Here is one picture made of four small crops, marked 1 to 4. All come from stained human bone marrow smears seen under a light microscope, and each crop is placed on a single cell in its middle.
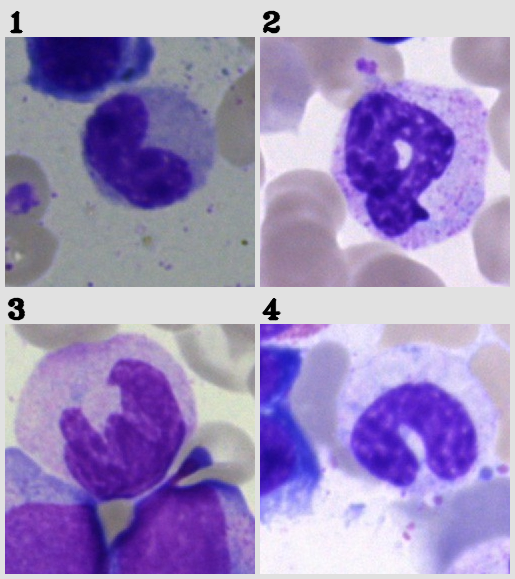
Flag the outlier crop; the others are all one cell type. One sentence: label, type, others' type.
All the crops contain band neutrophils save crop 3, where there is a monocyte.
